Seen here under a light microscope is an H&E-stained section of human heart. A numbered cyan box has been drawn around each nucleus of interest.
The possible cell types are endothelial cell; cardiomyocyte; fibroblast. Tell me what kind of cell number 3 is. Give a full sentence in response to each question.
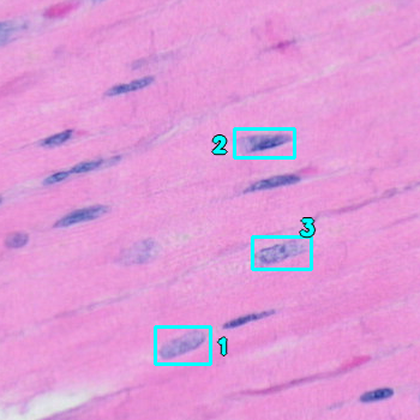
The expected answer is that cell 3 is a cardiomyocyte.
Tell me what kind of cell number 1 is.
The cell carrying label 1 is identified as a cardiomyocyte.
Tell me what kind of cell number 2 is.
The expected answer is that cell 2 is an endothelial cell.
